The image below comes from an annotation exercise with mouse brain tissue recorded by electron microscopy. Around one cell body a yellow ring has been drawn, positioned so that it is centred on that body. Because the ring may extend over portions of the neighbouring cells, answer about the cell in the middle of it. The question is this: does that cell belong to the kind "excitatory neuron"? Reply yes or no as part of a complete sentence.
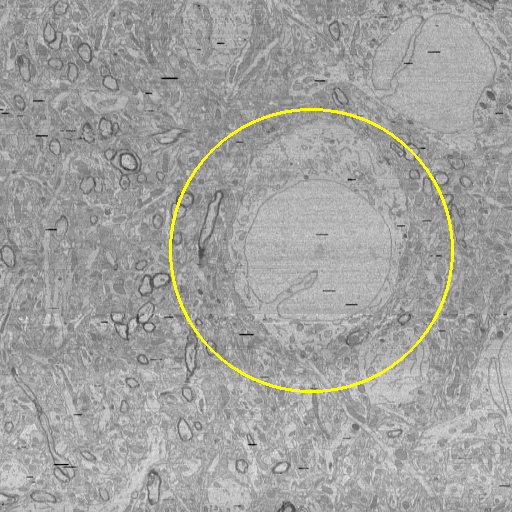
Yes, in the image the cell in the middle of the ring is of the kind asked about.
